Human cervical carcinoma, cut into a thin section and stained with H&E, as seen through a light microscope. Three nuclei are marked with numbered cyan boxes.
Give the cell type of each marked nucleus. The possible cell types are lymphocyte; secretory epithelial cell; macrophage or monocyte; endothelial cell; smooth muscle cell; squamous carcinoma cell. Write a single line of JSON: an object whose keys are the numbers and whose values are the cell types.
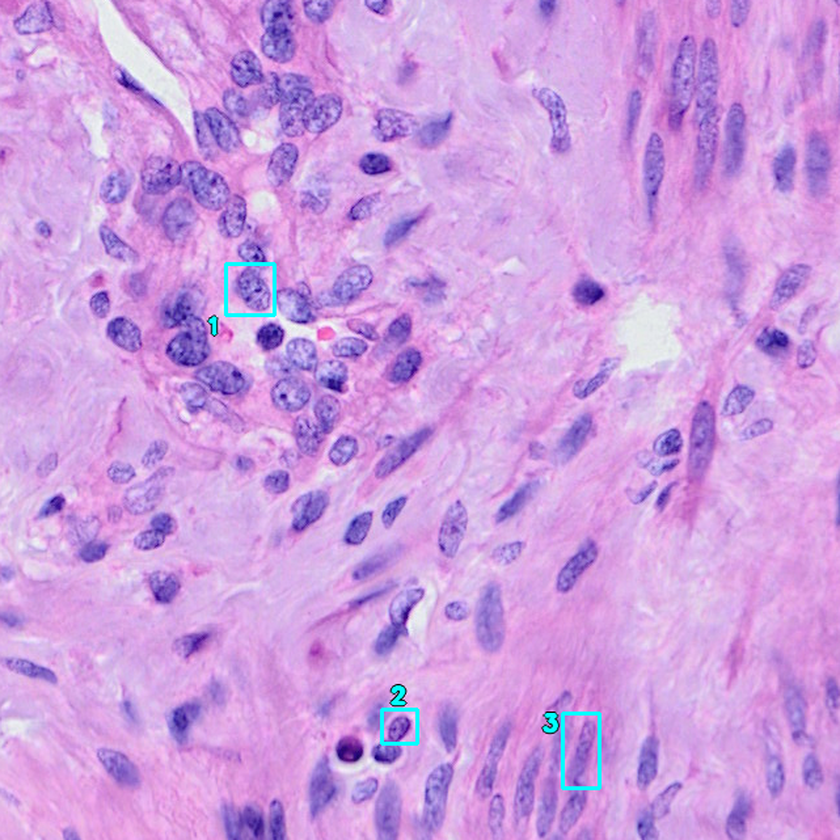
{"1": "endothelial cell", "2": "lymphocyte", "3": "smooth muscle cell"}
